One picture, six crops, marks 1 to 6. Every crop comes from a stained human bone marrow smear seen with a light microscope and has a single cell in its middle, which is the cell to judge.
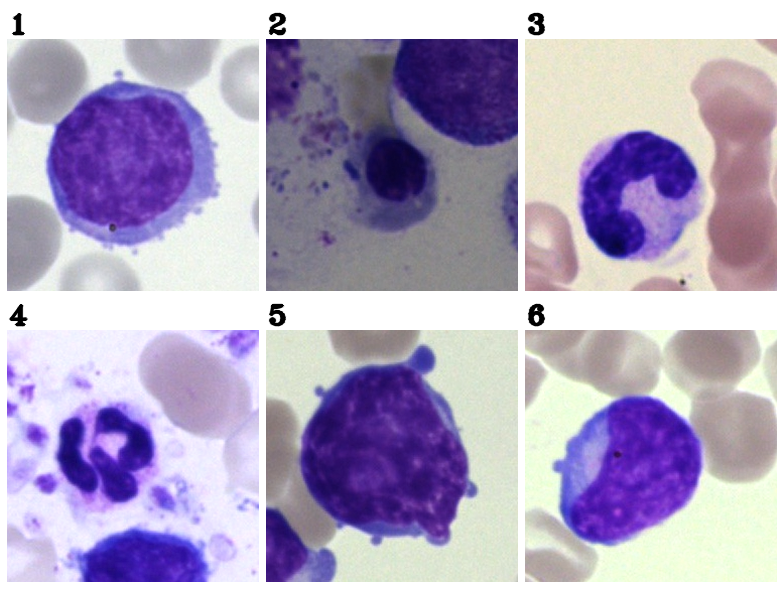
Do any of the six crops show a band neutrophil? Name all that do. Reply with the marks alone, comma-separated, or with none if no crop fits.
3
